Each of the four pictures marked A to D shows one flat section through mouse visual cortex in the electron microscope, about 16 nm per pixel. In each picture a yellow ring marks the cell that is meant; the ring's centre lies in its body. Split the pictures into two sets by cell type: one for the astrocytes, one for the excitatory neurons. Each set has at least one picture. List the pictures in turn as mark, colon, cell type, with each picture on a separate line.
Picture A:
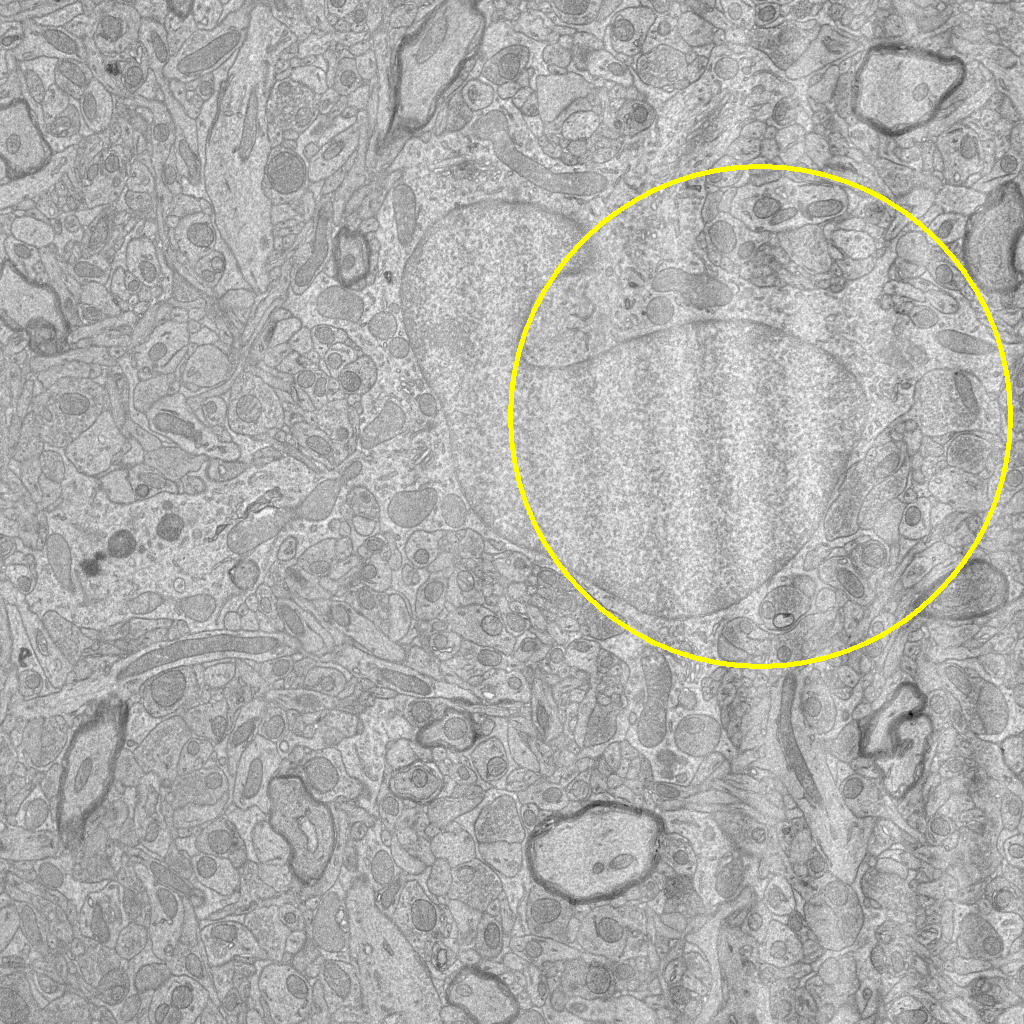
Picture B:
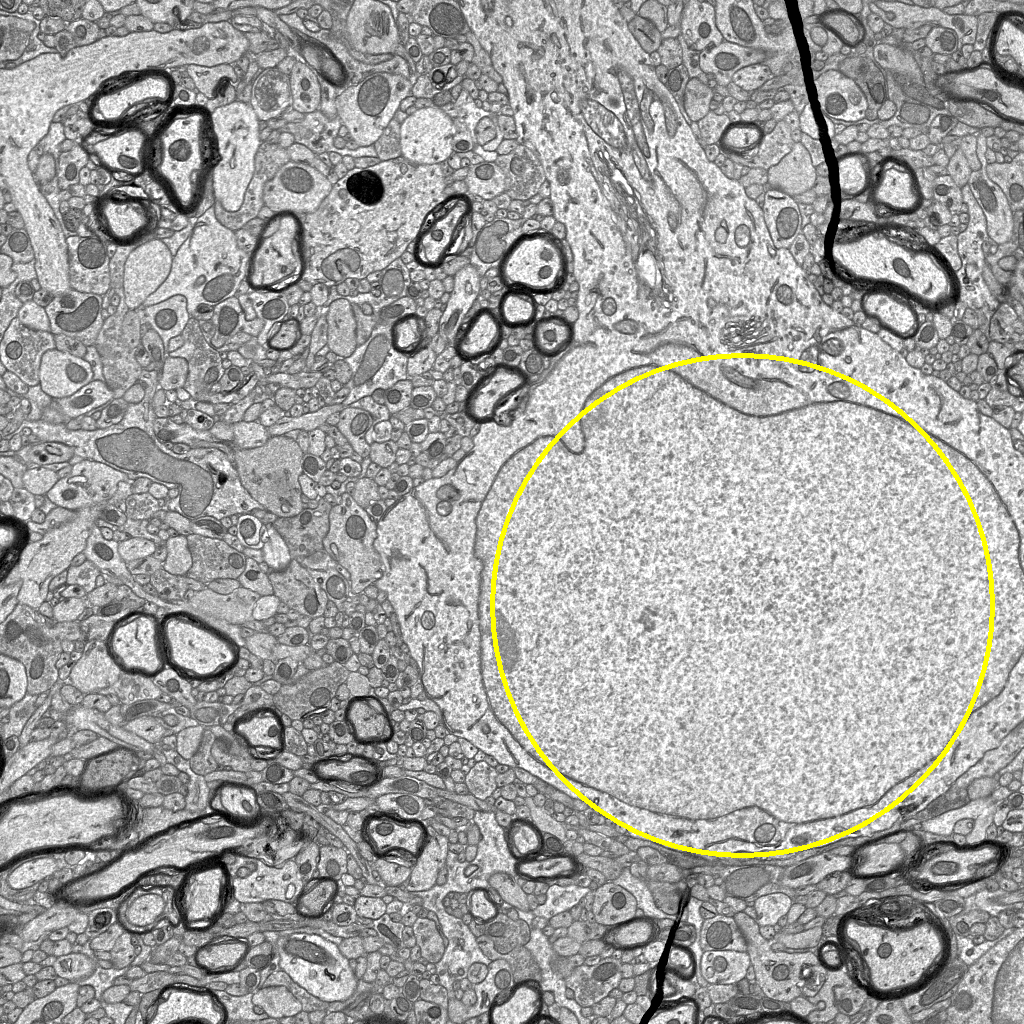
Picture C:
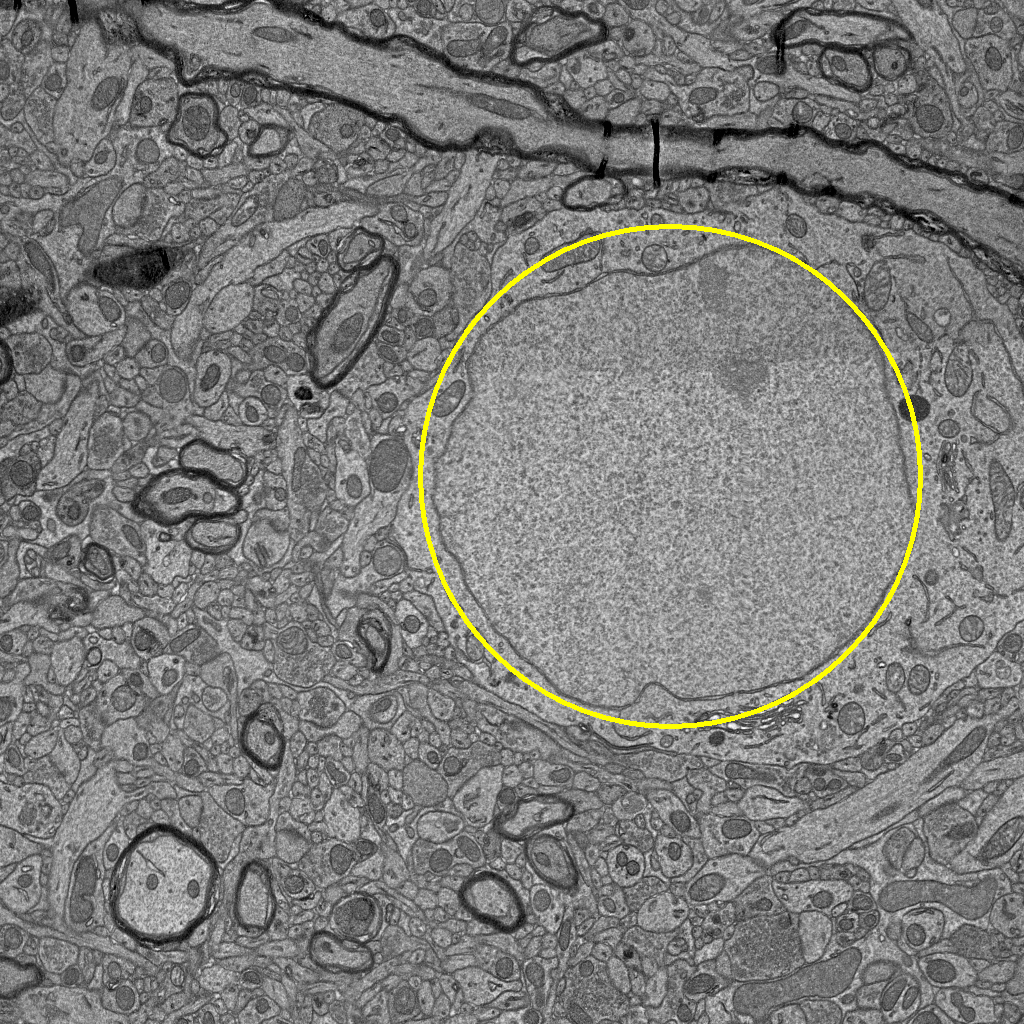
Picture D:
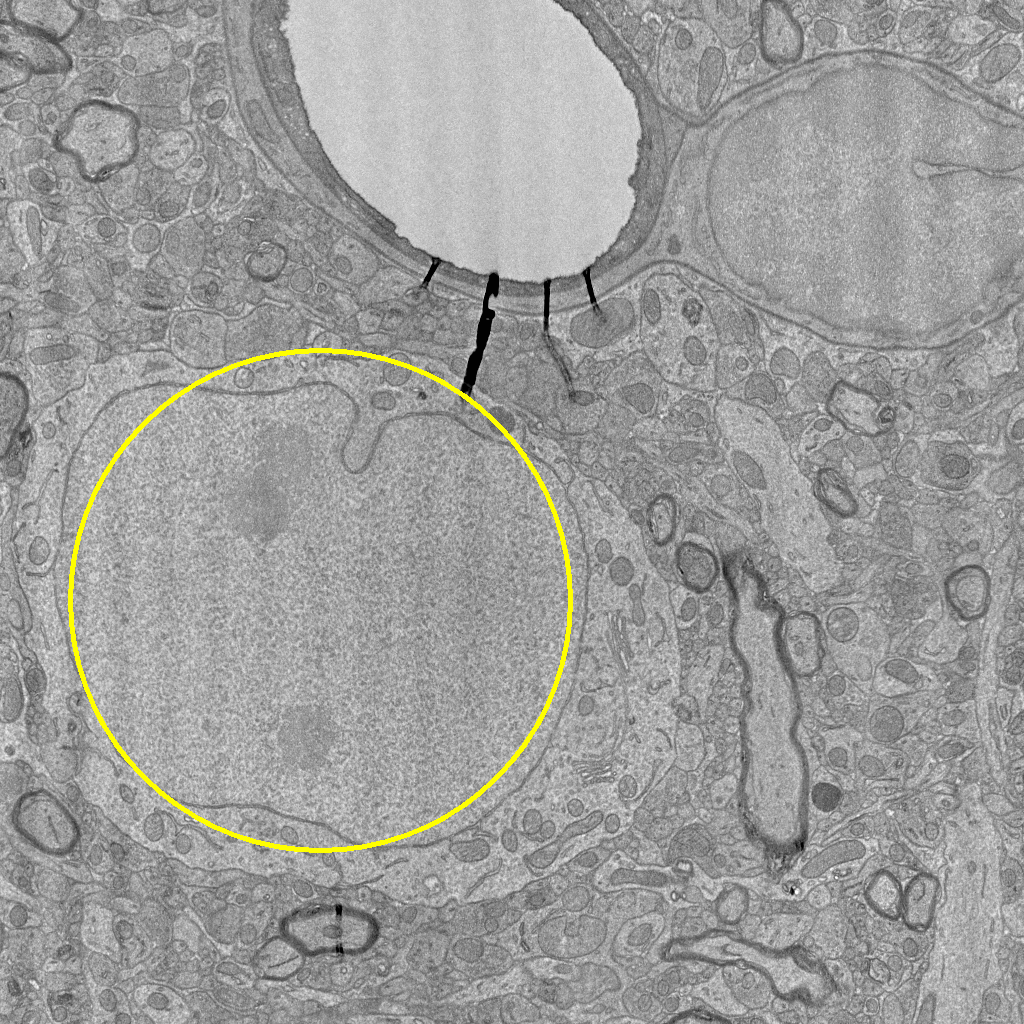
A: astrocyte
B: excitatory neuron
C: excitatory neuron
D: excitatory neuron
